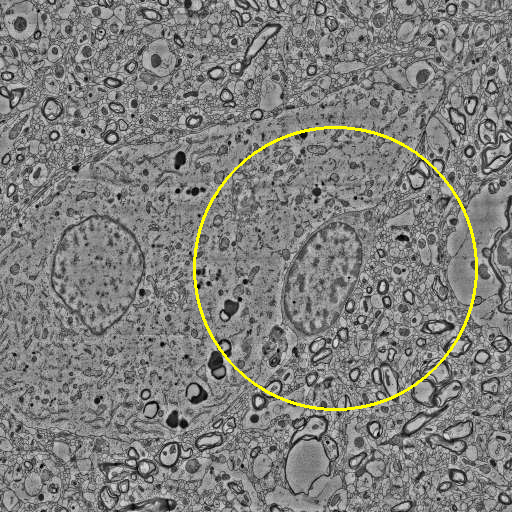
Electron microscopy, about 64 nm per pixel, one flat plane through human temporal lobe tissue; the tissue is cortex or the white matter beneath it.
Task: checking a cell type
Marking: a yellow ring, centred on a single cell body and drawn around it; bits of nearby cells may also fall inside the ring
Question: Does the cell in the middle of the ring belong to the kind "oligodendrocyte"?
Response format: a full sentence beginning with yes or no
Yes, the cell marked at the ring's centre in the picture is of that kind.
